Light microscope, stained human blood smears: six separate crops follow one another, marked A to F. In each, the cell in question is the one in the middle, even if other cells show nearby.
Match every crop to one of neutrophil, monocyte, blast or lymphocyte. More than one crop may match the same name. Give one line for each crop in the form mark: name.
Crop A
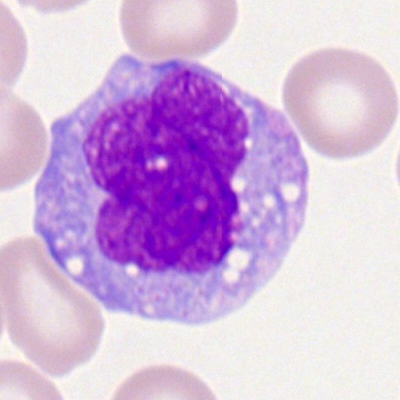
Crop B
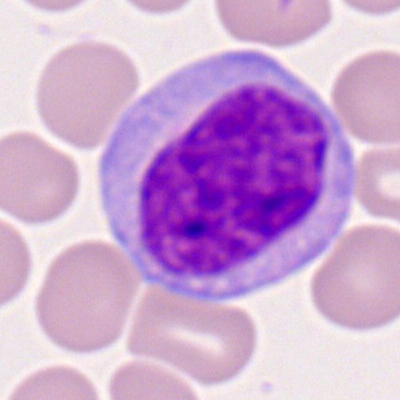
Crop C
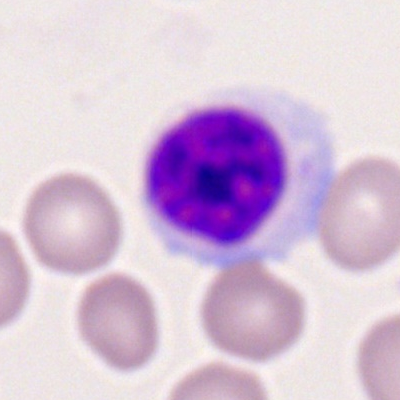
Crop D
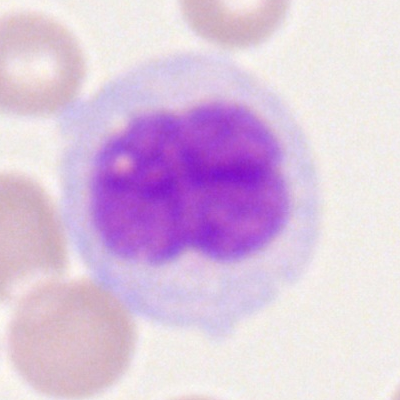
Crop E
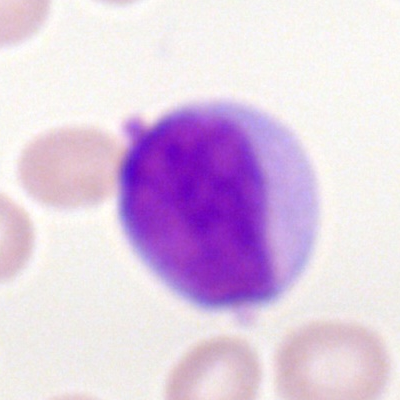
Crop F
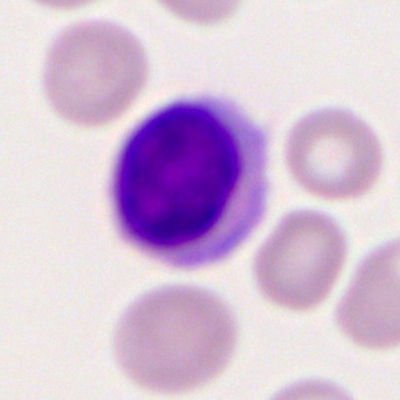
A: monocyte
B: monocyte
C: lymphocyte
D: monocyte
E: blast
F: lymphocyte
